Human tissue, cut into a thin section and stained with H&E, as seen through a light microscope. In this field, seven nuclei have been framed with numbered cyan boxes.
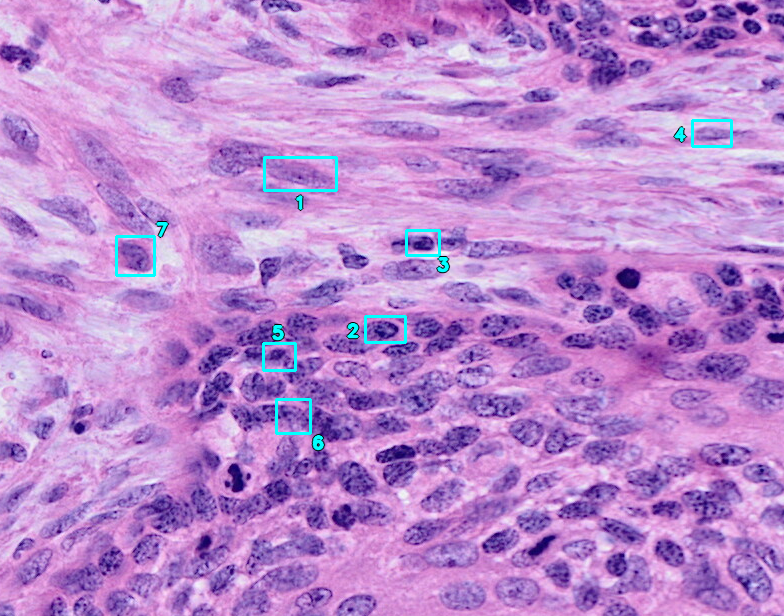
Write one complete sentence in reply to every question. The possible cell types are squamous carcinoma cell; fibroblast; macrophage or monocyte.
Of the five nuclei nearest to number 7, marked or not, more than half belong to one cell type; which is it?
Around number 7, most of the five nearest nuclei are those of fibroblasts.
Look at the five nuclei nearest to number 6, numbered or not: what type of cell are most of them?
Squamous carcinoma cells make up most of the five nuclei closest to number 6.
